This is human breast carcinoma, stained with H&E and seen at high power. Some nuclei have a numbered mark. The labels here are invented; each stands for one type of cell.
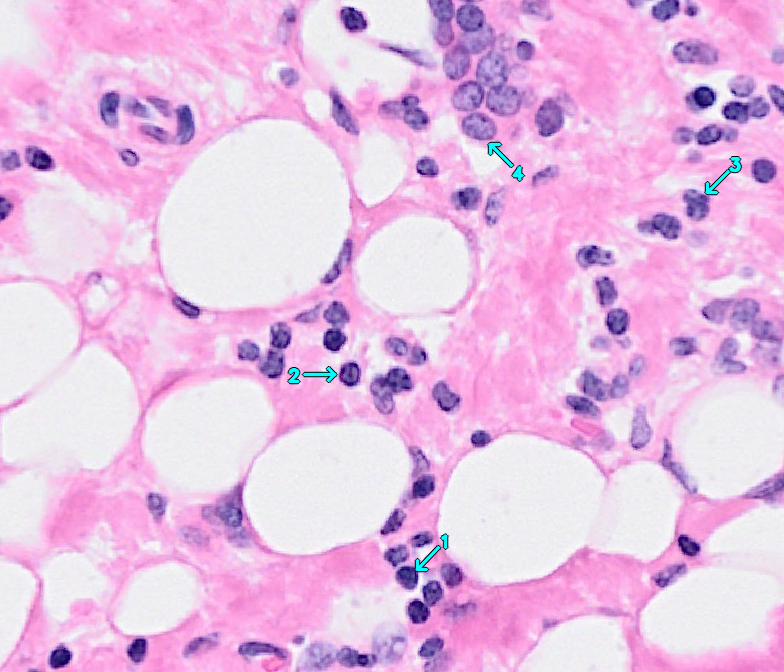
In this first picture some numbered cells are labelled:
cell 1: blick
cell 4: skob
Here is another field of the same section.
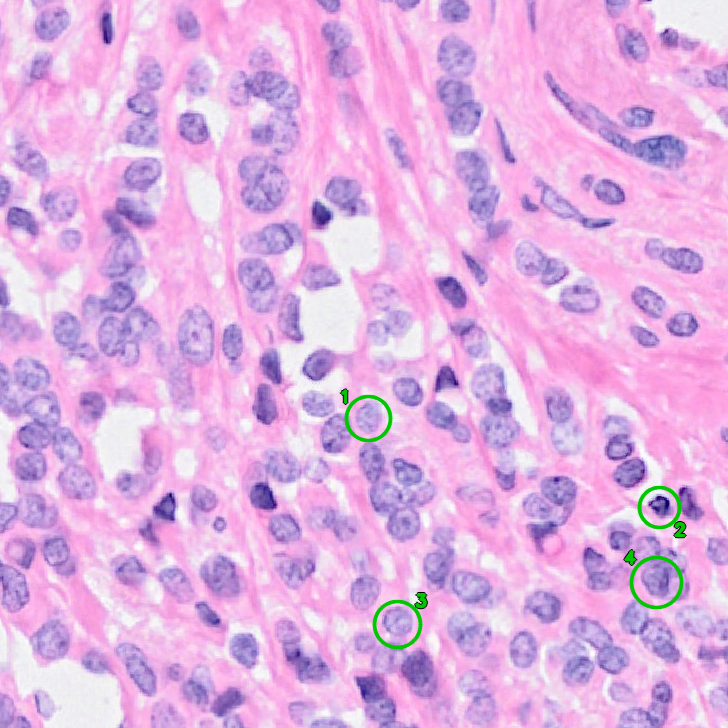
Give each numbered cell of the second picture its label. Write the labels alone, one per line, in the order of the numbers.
skob
blick
skob
skob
